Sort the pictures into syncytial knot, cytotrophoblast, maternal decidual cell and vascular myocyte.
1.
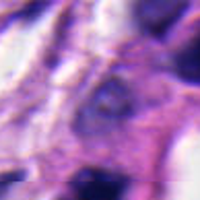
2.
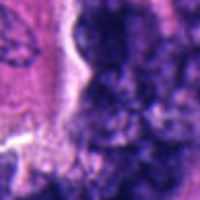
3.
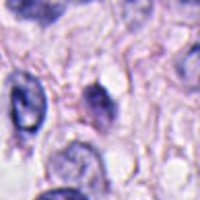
Cytotrophoblasts: 1
Syncytial knots: 2
Vascular myocytes: 3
